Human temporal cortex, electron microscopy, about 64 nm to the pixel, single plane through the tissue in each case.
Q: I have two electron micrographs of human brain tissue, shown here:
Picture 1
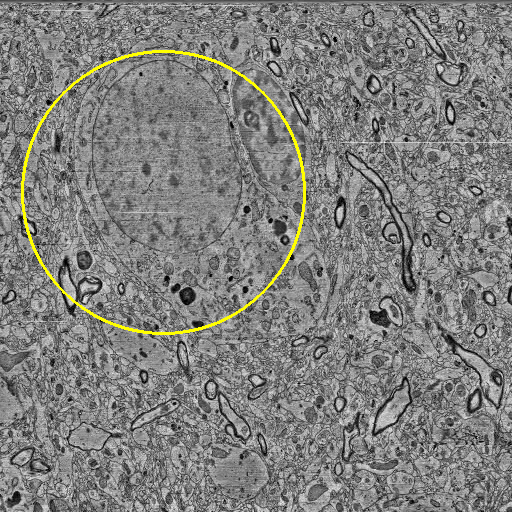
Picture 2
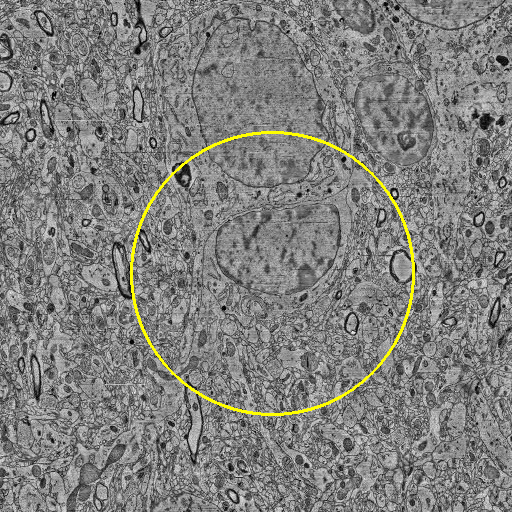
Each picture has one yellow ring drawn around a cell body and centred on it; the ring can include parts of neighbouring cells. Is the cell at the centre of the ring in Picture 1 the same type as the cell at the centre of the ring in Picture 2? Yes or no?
no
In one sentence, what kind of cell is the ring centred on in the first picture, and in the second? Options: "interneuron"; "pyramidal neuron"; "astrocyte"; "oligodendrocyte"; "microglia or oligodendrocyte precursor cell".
The cell at the centre of the second ring is a microglial cell or oligodendrocyte precursor cell; the first ring's cell is a pyramidal neuron.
